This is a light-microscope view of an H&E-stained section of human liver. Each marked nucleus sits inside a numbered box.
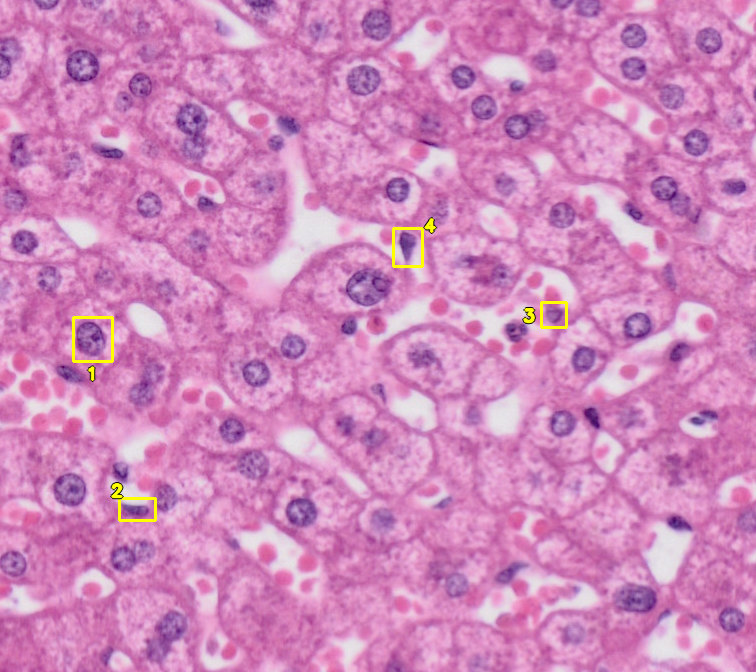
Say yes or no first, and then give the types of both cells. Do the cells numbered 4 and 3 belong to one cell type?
Yes: cells 4 and 3 are both Kupffer cells.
